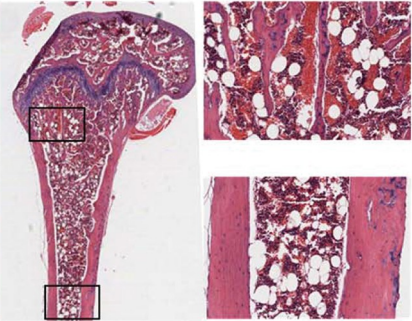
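A longitudinal section of the upper end of a long bone is shown at low magnification, with two enlarged views of the marrow cavity beside it. Pink bone forms the outer cortex and thin trabeculae, and a purple band of cartilage crosses near the rounded end. The marrow between the trabeculae is packed with small, dark-purple hematopoietic cells mixed with red blood cells. Scattered through this marrow are many round, clear, empty-looking vacuoles of varying size with thin rims.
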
